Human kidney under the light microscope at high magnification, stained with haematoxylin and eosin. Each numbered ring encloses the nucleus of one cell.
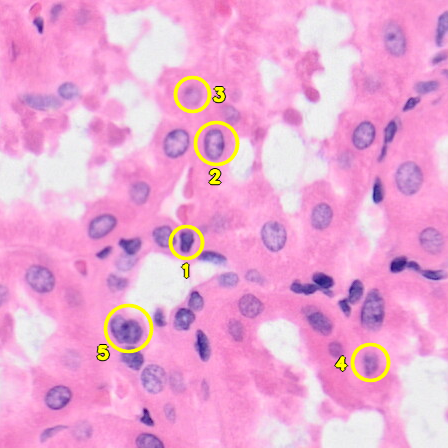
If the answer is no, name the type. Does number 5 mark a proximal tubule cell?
No, it is a collecting duct cell.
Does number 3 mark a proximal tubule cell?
Yes.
